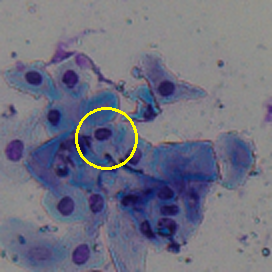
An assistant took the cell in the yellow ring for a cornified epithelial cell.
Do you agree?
I disagree, it is a nucleated epithelial cell.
